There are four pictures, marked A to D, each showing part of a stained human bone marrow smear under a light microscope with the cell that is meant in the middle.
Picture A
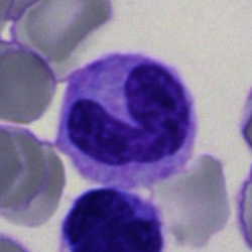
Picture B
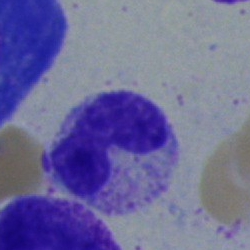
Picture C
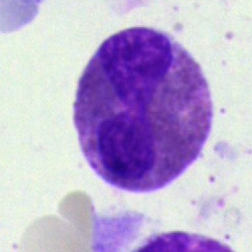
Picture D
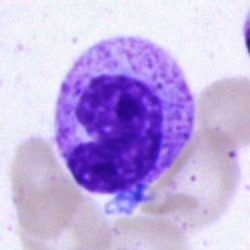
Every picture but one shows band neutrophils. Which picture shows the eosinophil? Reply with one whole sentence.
It is picture C that shows the eosinophil.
